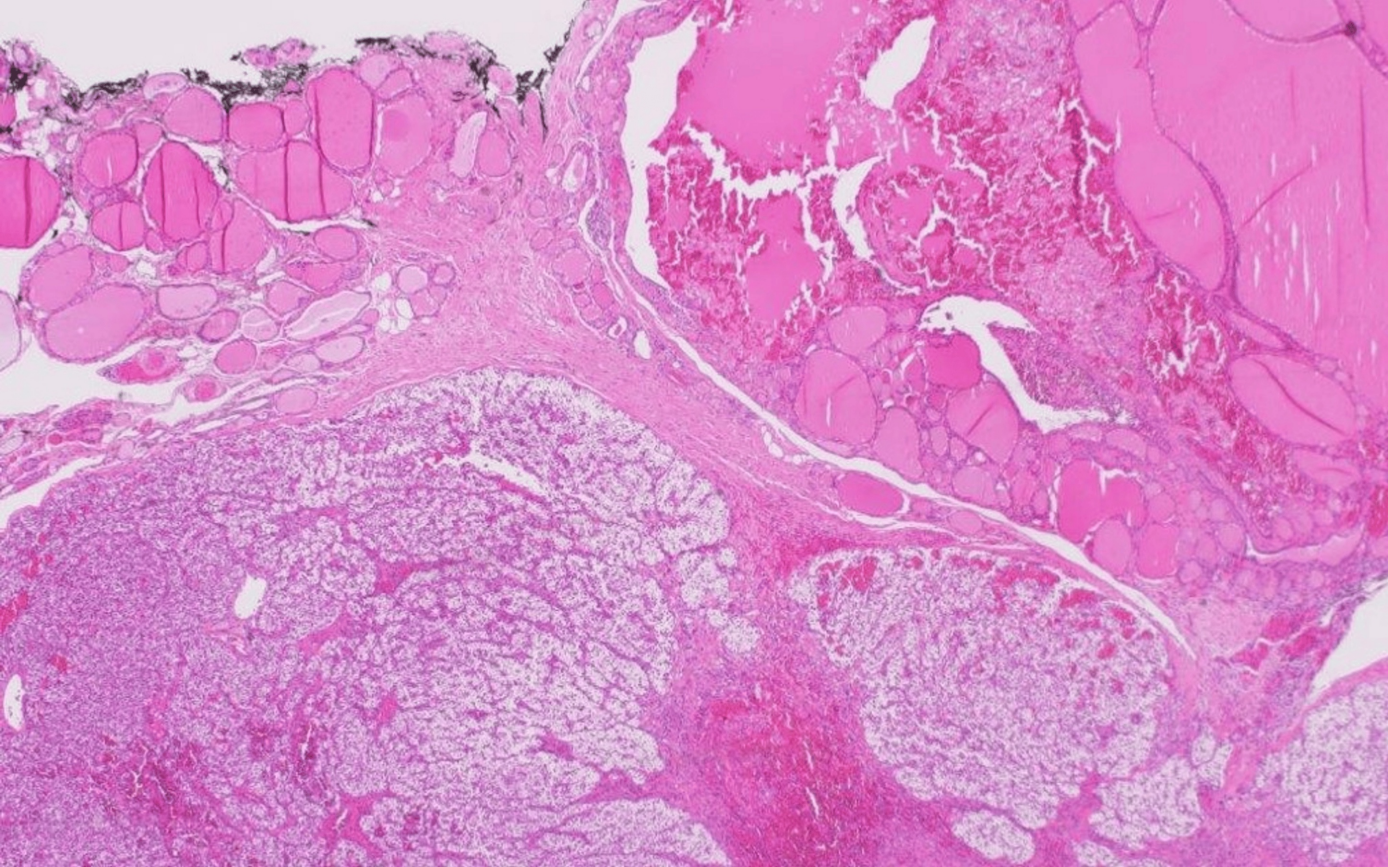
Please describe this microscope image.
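This low-power section shows a cellular parathyroid gland lying against thyroid tissue. The lower part is a solid nodule of closely packed cells with pale, clear cytoplasm, arranged in nests and sheets separated by thin pink fibrovascular septa, with scattered small foci of red blood cells. Above it, a band of pink fibrous tissue separates the nodule from the thyroid. The thyroid consists of round follicles of widely varying size, many large and dilated, filled with homogeneous pink colloid that shows cracking artefact. In the upper right, the thyroid also contains areas packed with red blood cells between the follicles.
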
